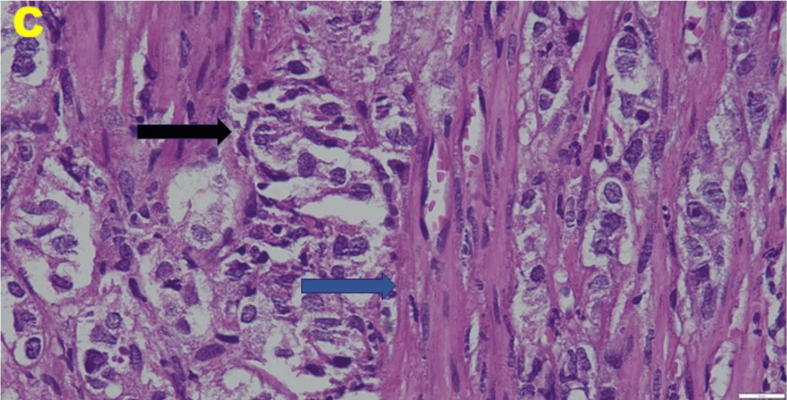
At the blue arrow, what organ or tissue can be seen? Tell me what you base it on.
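Muscular layer. The arrow points to bundles of elongated, deep pink fibres. Long, slender nuclei lie within these fibres.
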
